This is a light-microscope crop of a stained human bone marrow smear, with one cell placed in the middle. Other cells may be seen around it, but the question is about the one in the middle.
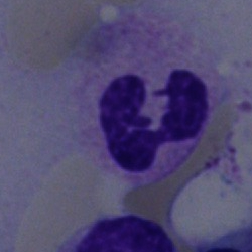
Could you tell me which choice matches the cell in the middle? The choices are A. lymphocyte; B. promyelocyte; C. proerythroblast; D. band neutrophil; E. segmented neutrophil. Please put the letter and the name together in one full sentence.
The central cell of the crop is a segmented neutrophil, which makes E the correct option.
